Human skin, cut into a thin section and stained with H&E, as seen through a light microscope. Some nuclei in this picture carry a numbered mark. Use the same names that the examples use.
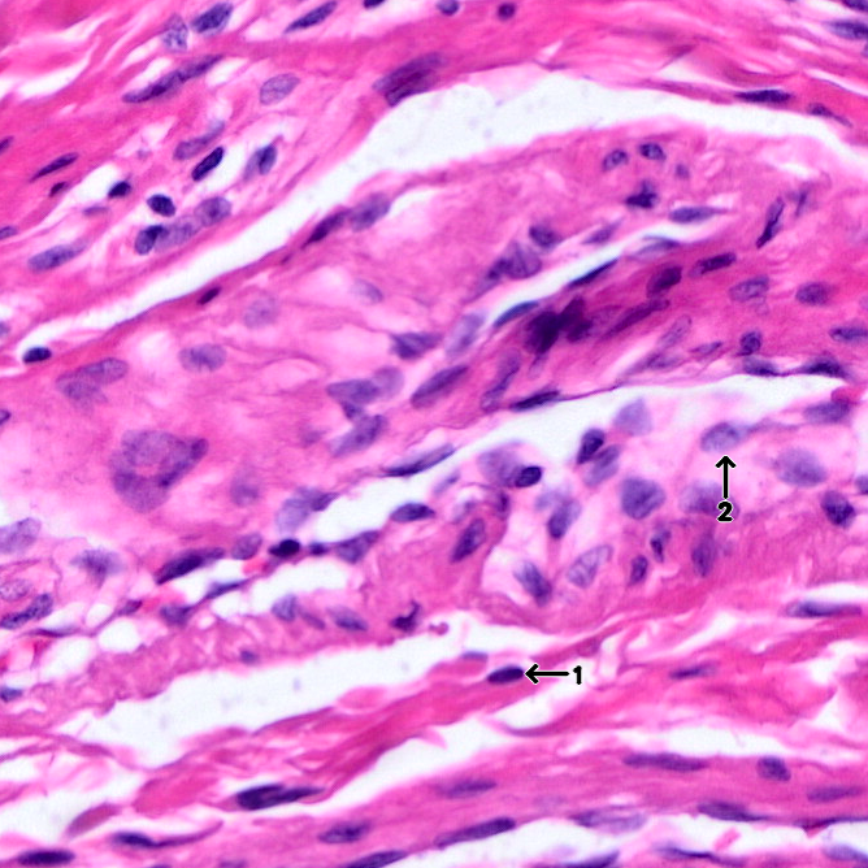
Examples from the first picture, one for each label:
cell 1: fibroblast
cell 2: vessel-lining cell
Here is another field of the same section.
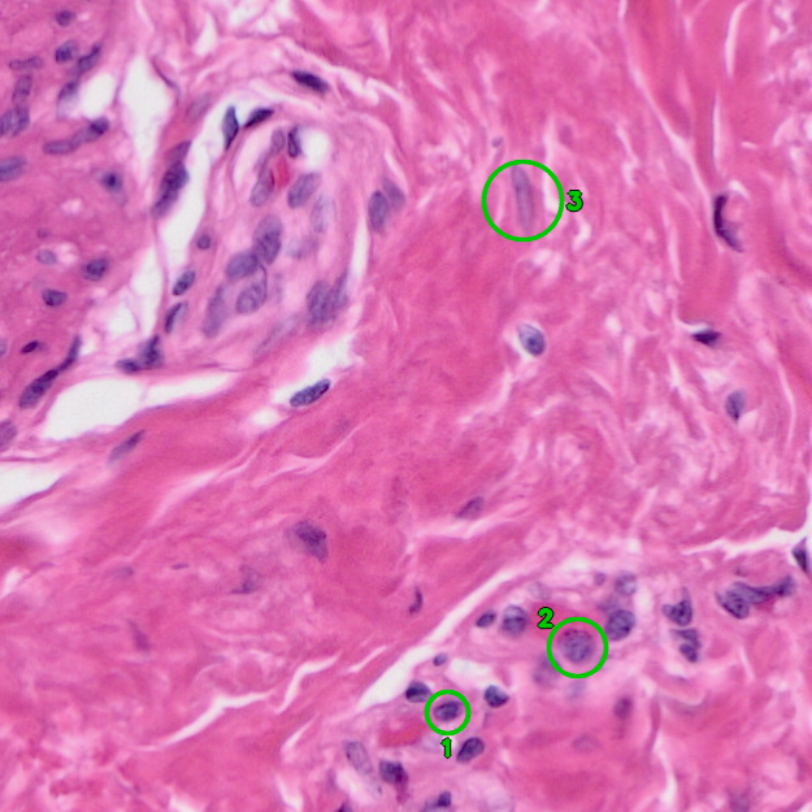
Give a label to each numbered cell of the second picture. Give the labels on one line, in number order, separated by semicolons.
vessel-lining cell; vessel-lining cell; fibroblast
